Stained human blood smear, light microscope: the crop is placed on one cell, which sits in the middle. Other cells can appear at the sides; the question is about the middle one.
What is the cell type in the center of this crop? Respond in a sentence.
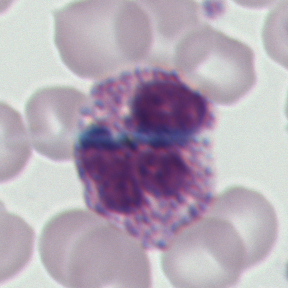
The cell the crop is centered on is a basophil.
